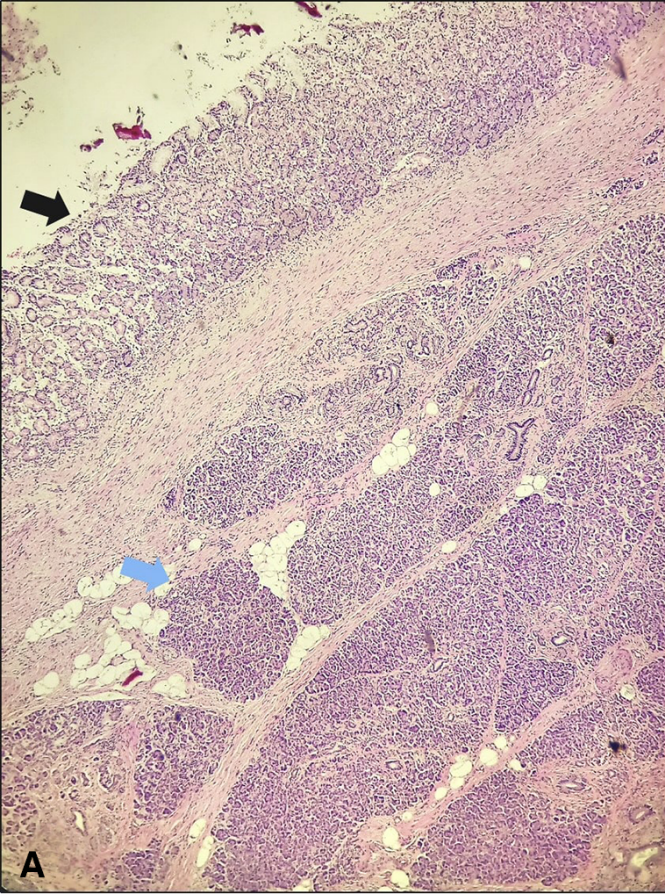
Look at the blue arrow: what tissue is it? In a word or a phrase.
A: Pancreatic parenchyma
